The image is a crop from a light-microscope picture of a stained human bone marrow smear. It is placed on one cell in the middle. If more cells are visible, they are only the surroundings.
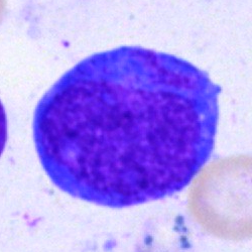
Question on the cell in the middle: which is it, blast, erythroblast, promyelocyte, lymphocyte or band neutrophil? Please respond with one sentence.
The cell sitting right in the middle is a promyelocyte.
